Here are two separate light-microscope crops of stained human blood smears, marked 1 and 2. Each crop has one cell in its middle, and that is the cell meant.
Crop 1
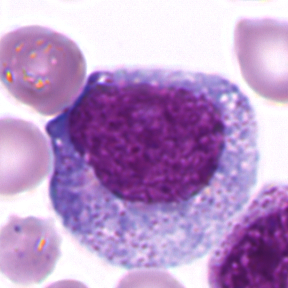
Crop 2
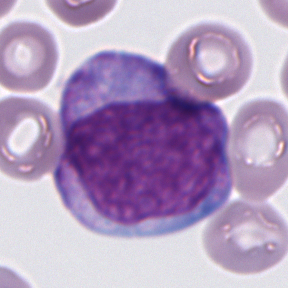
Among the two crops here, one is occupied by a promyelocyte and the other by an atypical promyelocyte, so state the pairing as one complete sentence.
The crop marked 1 shows a promyelocyte; the crop marked 2 shows an atypical promyelocyte.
